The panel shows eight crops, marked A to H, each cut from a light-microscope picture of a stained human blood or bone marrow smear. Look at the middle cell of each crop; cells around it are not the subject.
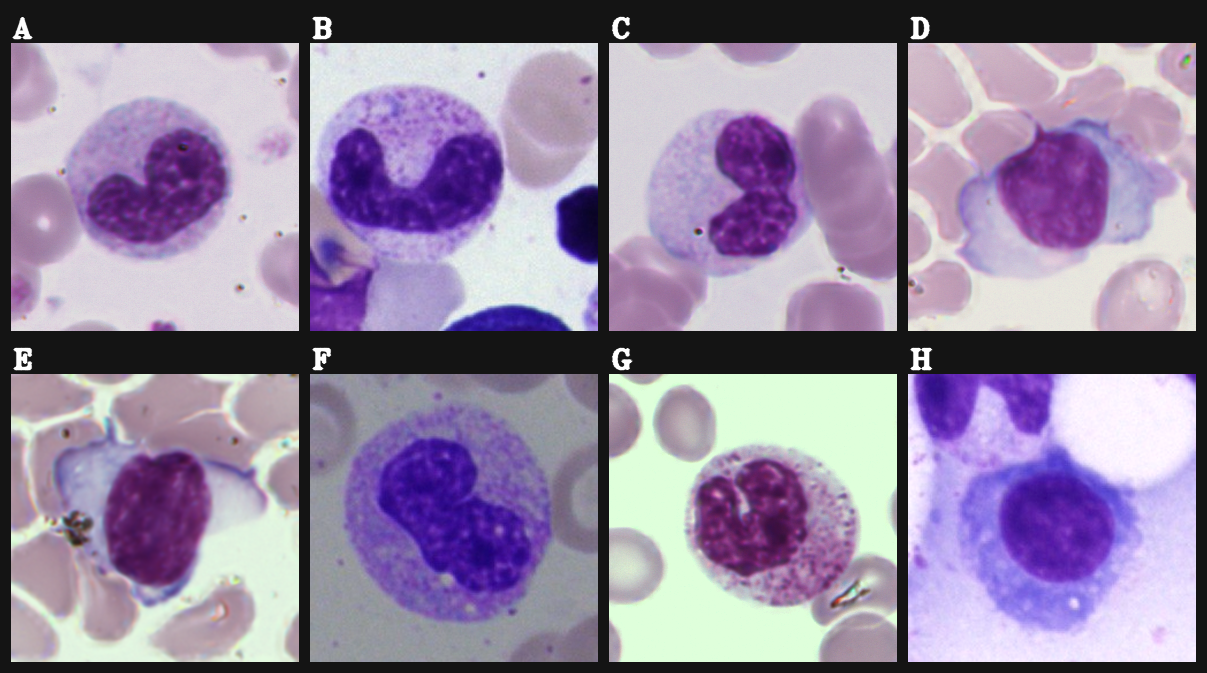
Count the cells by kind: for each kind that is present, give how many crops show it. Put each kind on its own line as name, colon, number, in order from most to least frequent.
band neutrophil: 5
plasma cell: 3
